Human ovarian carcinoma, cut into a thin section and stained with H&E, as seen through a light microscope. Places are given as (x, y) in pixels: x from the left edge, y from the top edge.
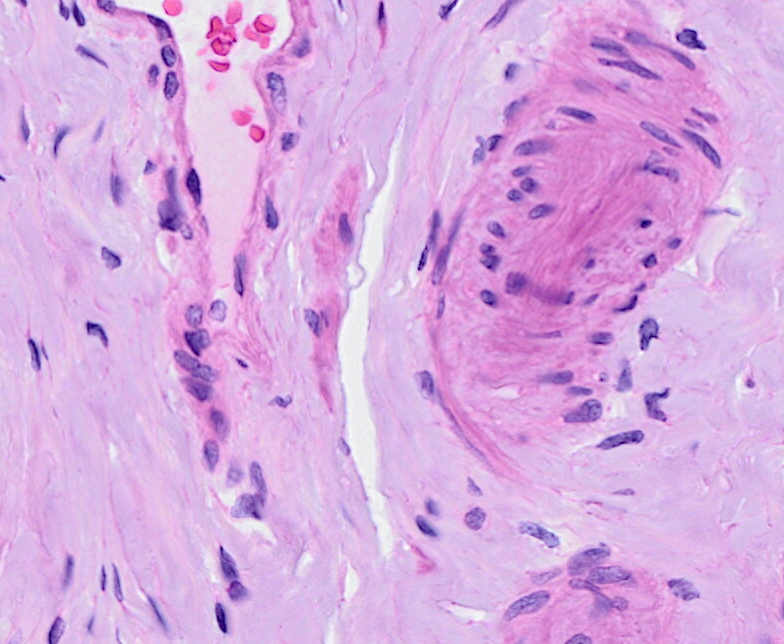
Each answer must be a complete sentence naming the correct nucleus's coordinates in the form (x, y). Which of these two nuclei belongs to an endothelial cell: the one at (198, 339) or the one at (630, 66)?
As for which of the two, the nucleus at (198, 339) belongs to an endothelial cell.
